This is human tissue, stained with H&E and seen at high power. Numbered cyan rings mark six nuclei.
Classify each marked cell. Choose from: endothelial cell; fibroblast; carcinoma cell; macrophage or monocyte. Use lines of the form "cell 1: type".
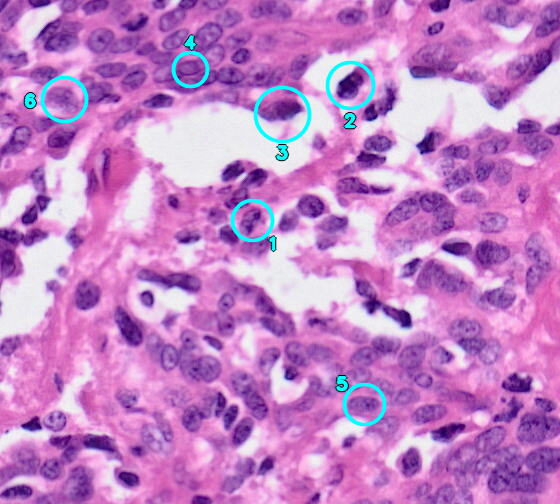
cell 1: macrophage or monocyte
cell 2: carcinoma cell
cell 3: carcinoma cell
cell 4: carcinoma cell
cell 5: macrophage or monocyte
cell 6: carcinoma cell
